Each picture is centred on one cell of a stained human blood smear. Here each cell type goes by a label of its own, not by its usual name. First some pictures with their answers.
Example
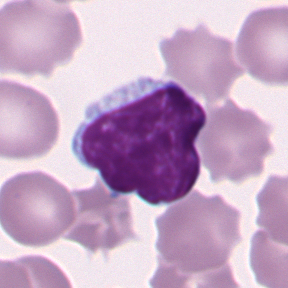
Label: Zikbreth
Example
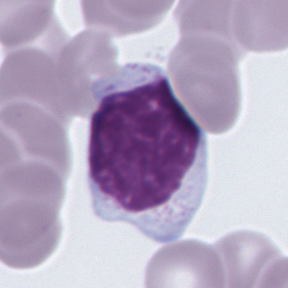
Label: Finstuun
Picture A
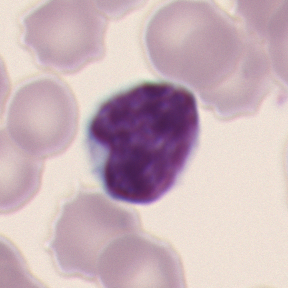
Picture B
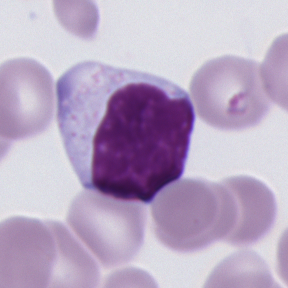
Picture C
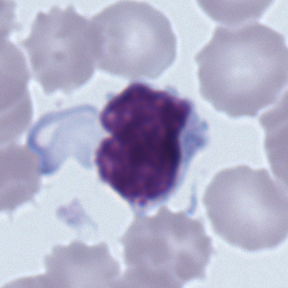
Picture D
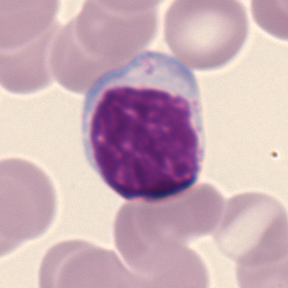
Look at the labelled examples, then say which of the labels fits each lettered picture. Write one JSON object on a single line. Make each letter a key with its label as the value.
{"A": "Zikbreth", "B": "Finstuun", "C": "Zikbreth", "D": "Finstuun"}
